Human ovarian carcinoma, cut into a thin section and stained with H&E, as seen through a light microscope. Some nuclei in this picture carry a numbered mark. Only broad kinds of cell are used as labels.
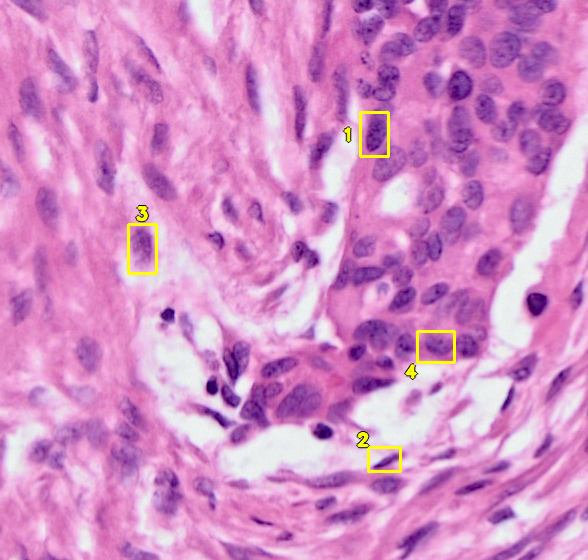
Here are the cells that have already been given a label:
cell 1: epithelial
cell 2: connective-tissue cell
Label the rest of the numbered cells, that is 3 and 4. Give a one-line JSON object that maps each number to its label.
{"3": "connective-tissue cell", "4": "epithelial"}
